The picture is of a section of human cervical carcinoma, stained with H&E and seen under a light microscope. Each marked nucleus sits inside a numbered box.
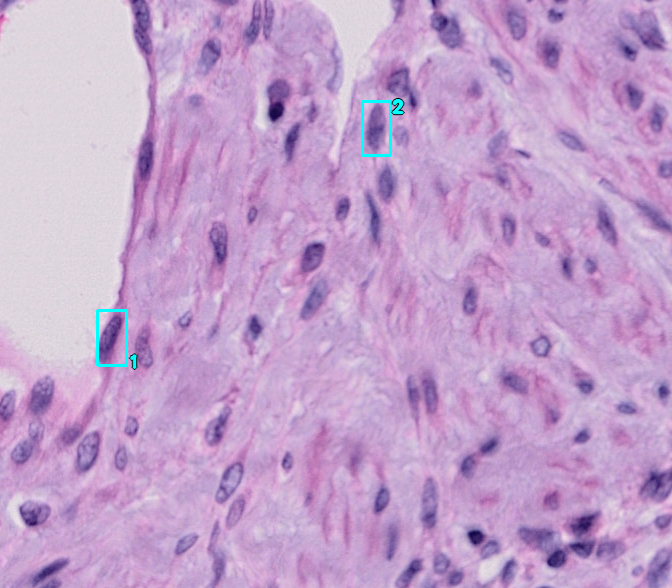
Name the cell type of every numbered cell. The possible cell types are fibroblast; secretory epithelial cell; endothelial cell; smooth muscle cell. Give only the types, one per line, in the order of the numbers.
endothelial cell
fibroblast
